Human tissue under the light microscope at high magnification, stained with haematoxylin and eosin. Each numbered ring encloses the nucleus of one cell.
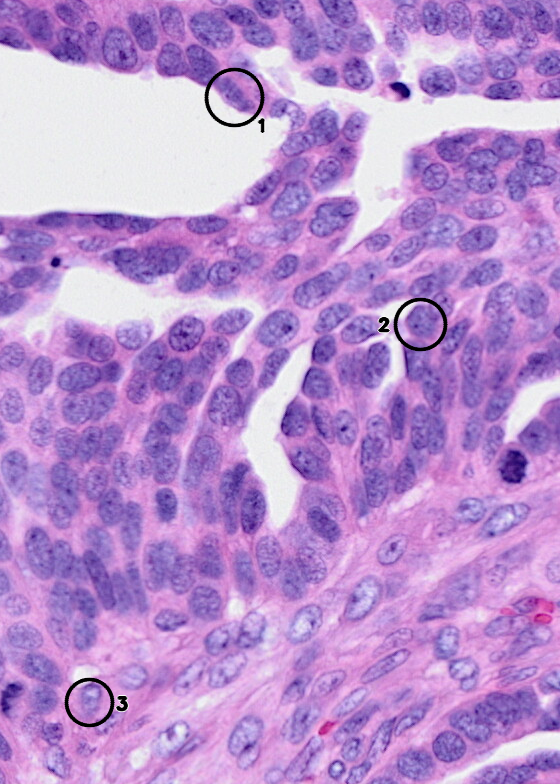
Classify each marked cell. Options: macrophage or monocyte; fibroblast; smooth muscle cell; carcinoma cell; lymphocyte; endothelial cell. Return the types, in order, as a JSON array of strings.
["carcinoma cell", "carcinoma cell", "fibroblast"]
